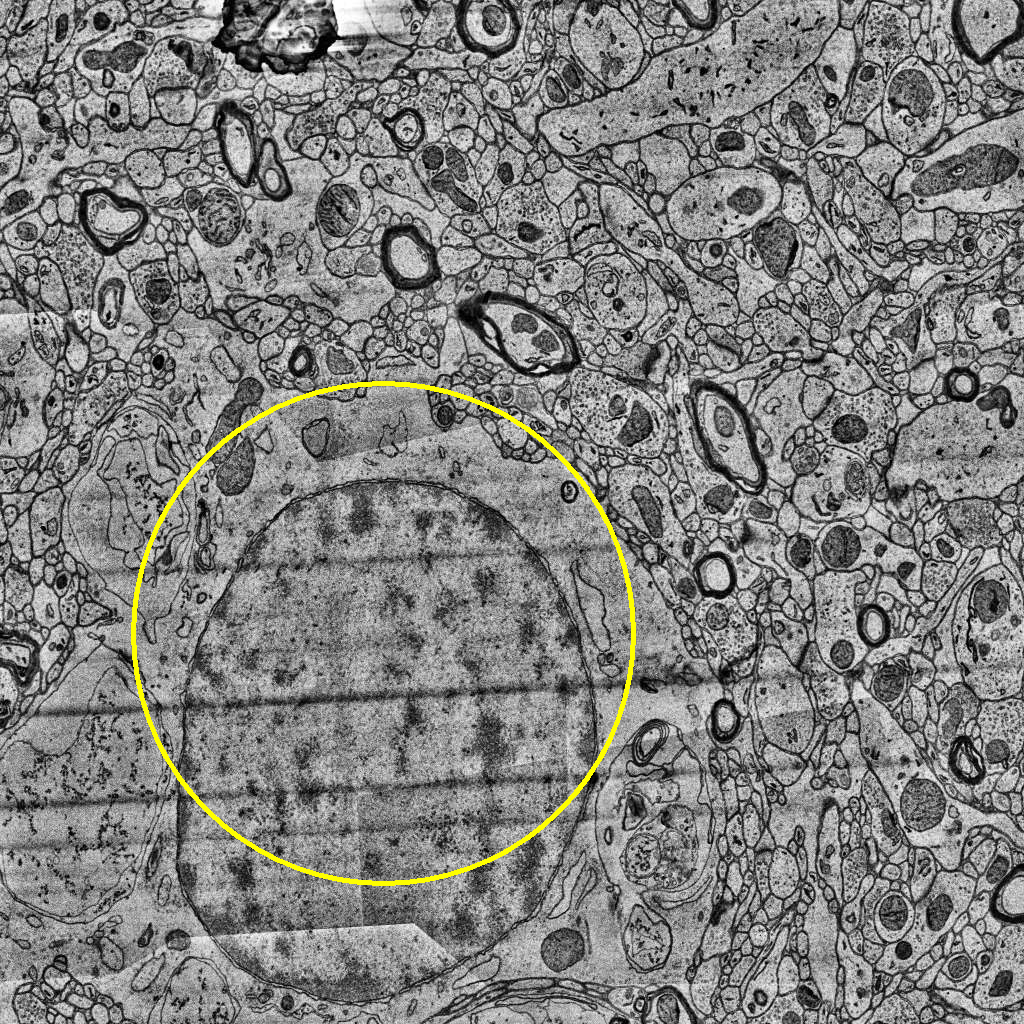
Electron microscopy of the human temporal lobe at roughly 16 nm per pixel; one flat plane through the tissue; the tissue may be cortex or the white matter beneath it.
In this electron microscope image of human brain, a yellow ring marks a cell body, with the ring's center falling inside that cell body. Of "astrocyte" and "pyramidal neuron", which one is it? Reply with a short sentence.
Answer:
It is an astrocyte at the center of the ring.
